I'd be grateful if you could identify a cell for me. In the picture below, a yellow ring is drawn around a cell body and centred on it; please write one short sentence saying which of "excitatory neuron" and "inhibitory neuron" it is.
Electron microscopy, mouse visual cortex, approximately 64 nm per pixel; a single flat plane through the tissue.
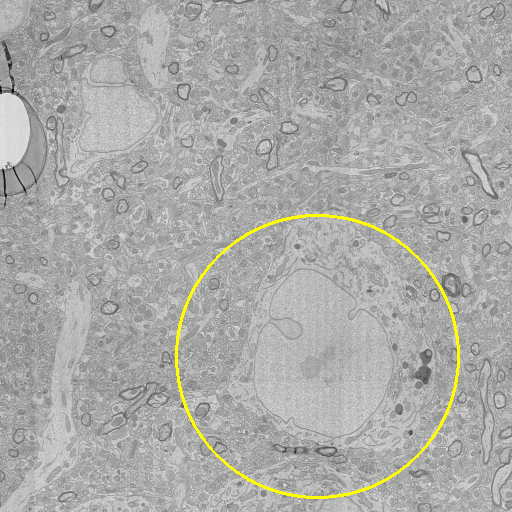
The cell under the ring's centre is an excitatory neuron.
